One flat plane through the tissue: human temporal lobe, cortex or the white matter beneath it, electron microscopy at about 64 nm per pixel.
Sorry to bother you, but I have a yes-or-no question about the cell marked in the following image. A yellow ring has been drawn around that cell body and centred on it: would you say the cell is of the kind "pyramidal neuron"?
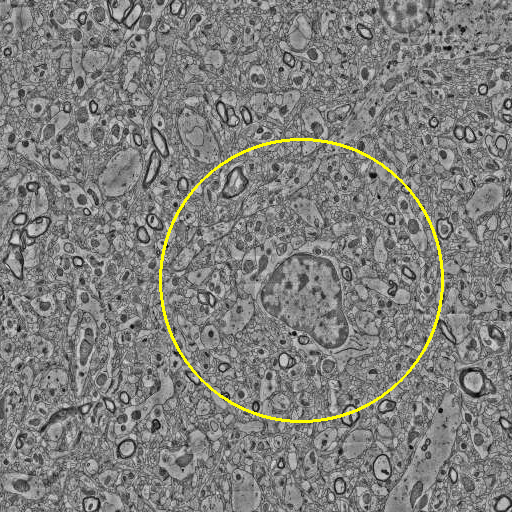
no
